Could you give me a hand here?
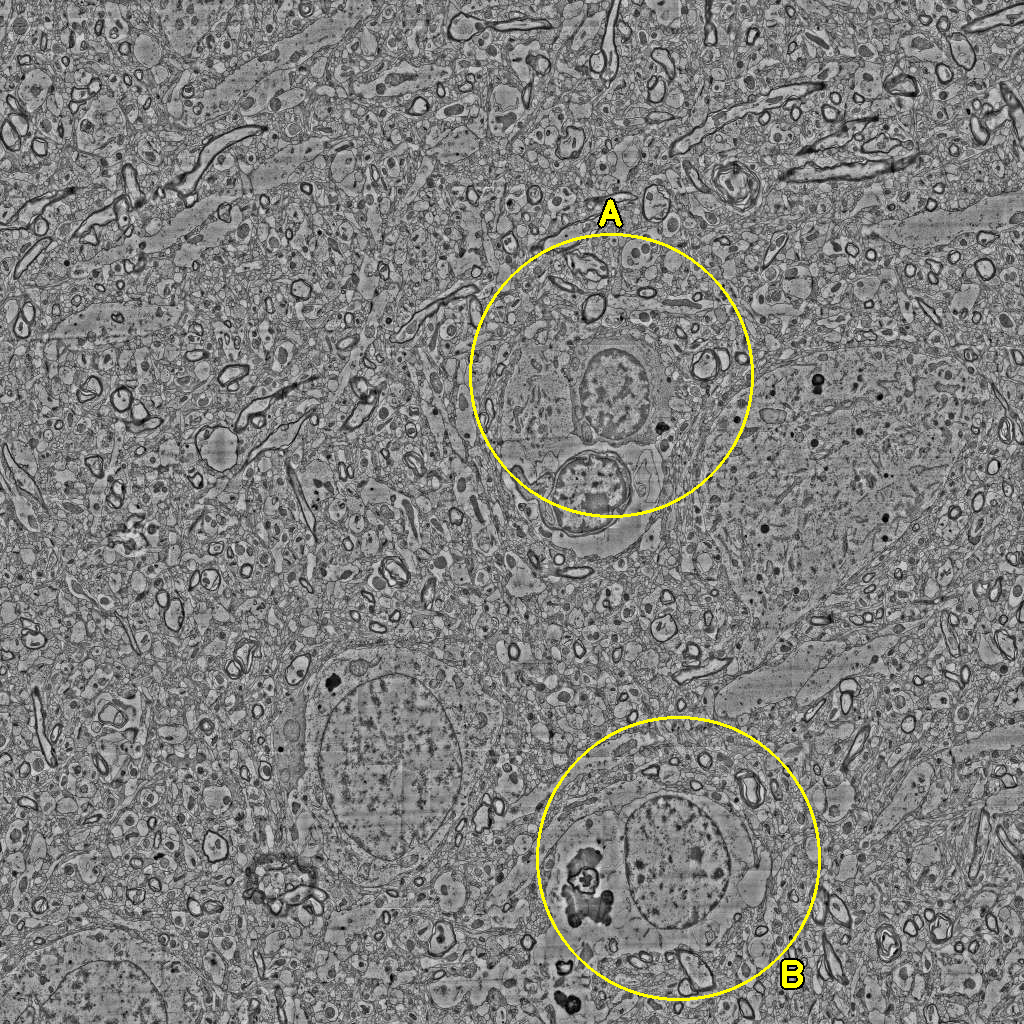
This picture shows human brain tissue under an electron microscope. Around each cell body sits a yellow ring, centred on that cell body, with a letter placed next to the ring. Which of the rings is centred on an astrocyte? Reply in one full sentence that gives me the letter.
The cell asked for sits at the centre of ring B in the picture.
